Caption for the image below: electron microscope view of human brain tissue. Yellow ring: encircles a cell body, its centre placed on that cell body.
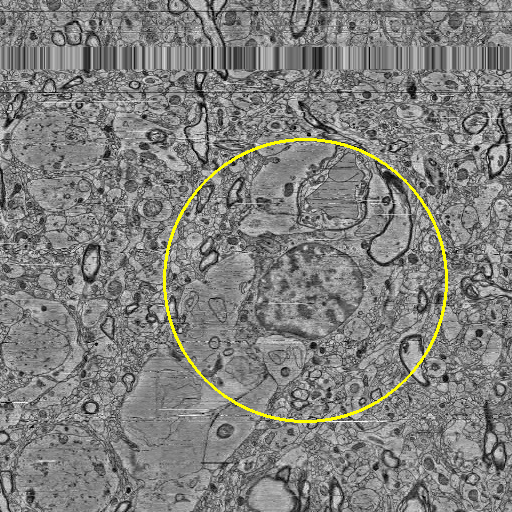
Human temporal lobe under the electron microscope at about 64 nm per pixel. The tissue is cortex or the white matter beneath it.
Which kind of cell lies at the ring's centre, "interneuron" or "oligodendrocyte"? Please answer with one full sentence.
The picture shows an oligodendrocyte at the centre of the yellow ring.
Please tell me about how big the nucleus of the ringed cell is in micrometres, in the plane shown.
In this plane, roughly 7 by 6 micrometres.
